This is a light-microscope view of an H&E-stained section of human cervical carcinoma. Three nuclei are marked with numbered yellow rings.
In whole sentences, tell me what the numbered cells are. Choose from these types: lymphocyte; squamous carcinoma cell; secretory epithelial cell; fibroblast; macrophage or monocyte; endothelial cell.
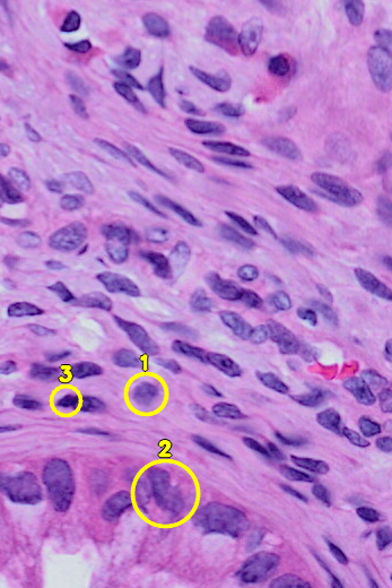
Cell 1 is a fibroblast, cell 2 is a secretory epithelial cell and cell 3 is a lymphocyte.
